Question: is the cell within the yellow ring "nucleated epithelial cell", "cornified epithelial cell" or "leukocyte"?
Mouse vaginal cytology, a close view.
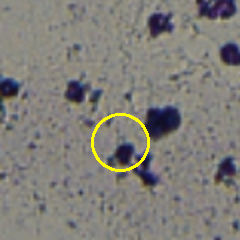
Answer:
leukocyte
